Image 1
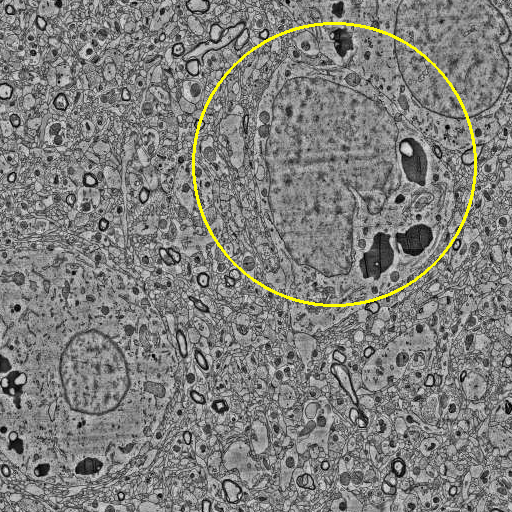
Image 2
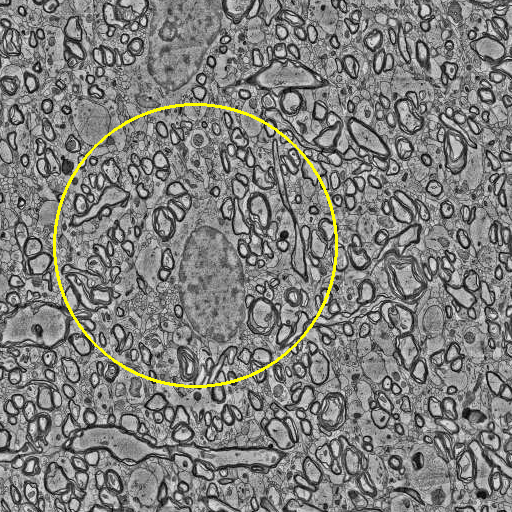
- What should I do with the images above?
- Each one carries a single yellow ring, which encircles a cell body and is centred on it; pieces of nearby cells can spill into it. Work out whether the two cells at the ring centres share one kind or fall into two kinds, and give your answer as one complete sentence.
The ring-centre cells of Image 1 and Image 2 fall into two kinds.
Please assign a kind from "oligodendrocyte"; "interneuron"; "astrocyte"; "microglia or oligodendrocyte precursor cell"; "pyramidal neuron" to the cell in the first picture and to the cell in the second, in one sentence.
In the first picture we have an interneuron, and in the second, an oligodendrocyte.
